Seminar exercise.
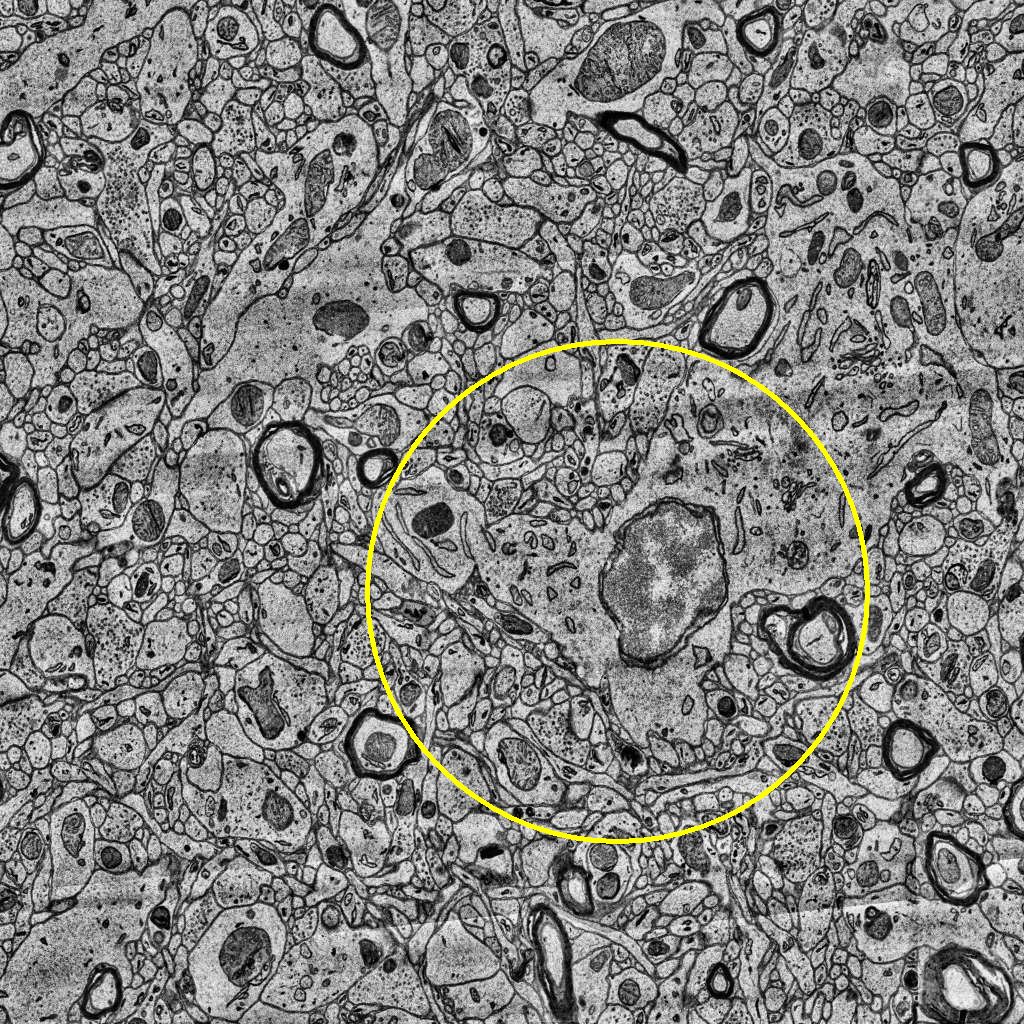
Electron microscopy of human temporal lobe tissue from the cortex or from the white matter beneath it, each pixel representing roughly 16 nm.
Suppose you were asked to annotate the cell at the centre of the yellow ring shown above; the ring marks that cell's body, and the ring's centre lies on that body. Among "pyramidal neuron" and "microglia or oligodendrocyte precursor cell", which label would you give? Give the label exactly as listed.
microglia or oligodendrocyte precursor cell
